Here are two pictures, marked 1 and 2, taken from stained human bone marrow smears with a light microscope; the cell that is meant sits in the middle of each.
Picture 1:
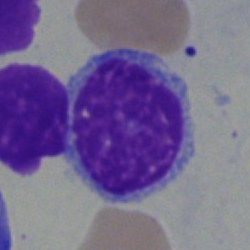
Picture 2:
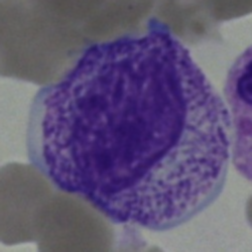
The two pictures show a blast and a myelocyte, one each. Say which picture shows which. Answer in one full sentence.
The cell in picture 1 is a blast, and the one in picture 2 is a myelocyte.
